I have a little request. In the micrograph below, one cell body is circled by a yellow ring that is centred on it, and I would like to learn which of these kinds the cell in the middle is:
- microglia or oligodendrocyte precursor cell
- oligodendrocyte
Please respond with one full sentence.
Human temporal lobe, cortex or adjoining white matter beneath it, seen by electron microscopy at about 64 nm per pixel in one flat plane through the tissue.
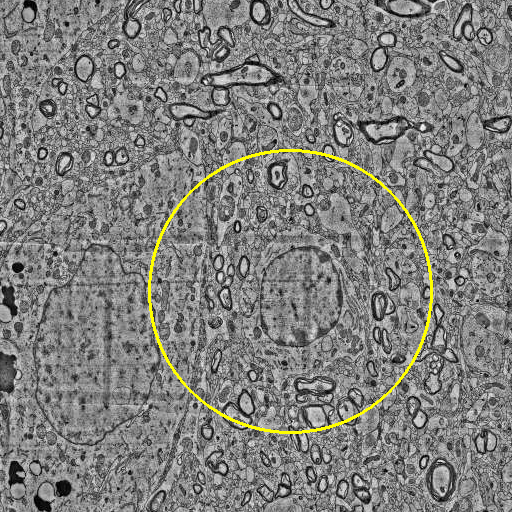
The cell sitting in the middle of the yellow ring in the micrograph is a microglial cell or oligodendrocyte precursor cell.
